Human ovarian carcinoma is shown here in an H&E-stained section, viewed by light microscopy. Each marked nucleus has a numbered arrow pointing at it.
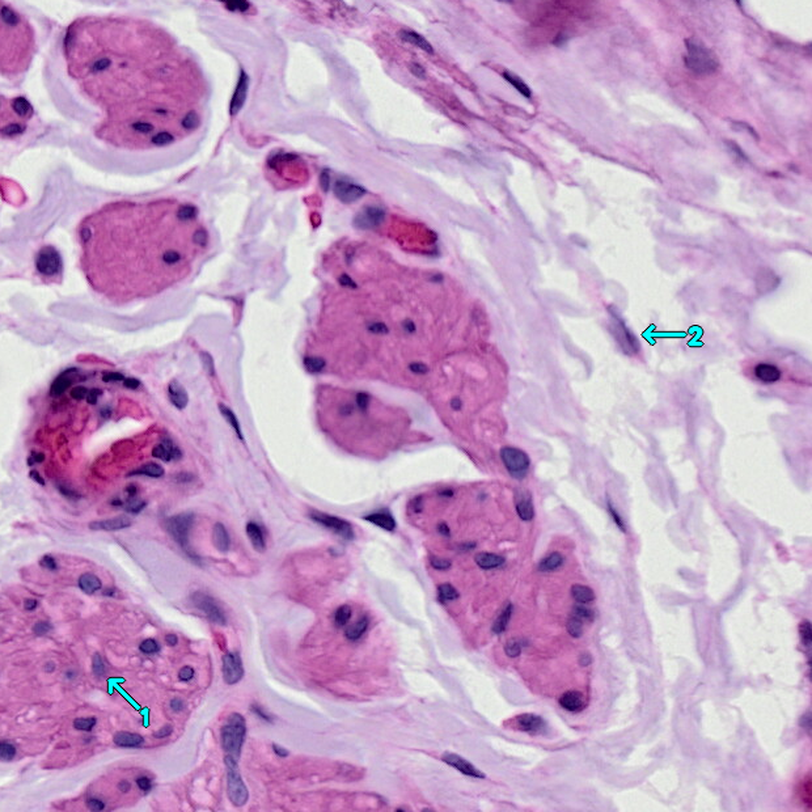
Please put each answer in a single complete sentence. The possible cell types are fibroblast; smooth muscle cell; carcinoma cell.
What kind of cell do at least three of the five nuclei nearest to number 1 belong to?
Most of the five nuclei nearest to number 1 are those of smooth muscle cells.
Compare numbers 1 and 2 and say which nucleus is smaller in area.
Nucleus 1 covers less area, with nucleus 2 about 3 times as large.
